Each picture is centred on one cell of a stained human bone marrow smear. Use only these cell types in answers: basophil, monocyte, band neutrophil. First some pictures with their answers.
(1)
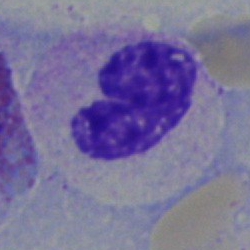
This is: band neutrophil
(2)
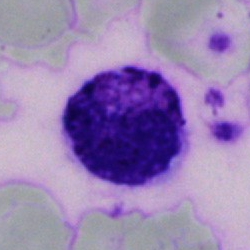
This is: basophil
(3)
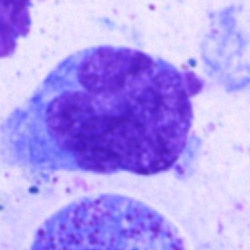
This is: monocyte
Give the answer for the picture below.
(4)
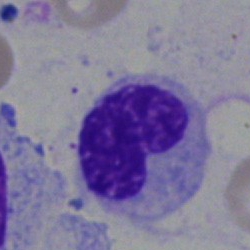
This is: band neutrophil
